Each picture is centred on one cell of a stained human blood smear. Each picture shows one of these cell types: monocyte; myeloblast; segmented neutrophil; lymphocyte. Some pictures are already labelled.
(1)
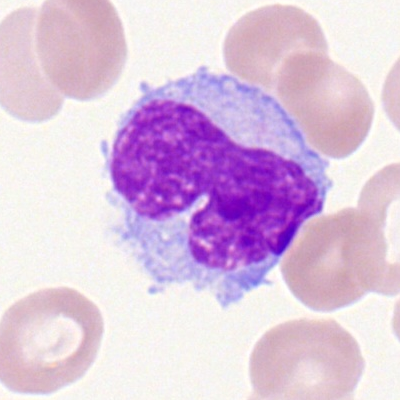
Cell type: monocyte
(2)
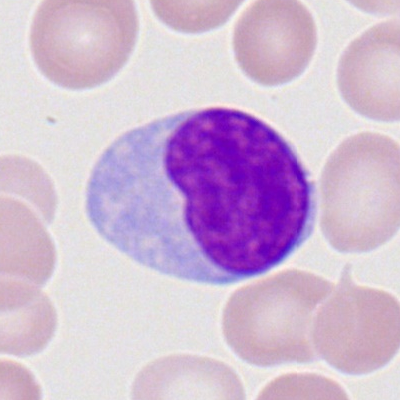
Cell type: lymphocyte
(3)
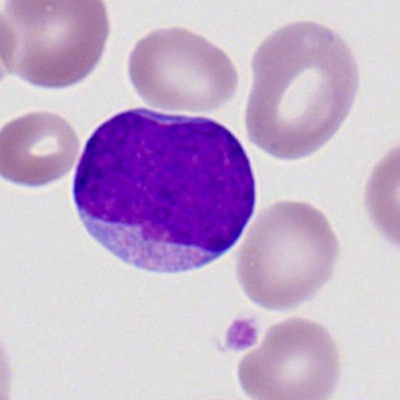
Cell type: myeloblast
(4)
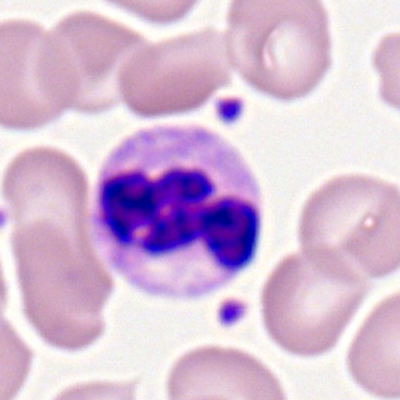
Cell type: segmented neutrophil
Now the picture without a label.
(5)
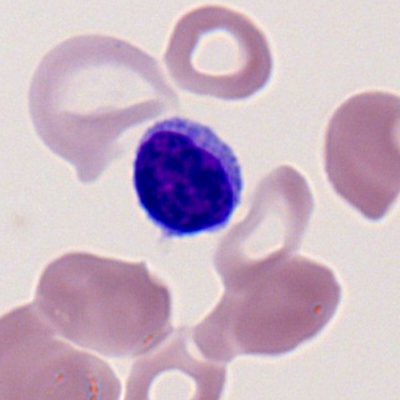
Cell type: lymphocyte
